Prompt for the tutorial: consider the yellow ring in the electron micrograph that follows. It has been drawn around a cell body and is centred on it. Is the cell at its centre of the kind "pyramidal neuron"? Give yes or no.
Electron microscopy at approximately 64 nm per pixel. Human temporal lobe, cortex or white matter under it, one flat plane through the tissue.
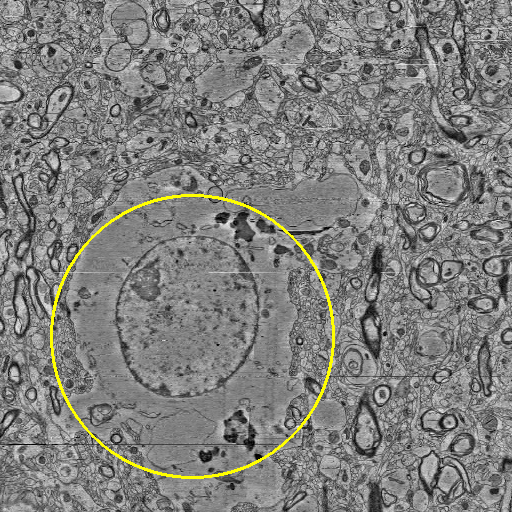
no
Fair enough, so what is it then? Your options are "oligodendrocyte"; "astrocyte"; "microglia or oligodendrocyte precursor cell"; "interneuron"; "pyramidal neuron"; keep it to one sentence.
The cell in question here is an astrocyte.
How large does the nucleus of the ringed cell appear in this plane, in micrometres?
The ringed cell's nucleus is about 11 micrometres long and 9 micrometres wide in this plane.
